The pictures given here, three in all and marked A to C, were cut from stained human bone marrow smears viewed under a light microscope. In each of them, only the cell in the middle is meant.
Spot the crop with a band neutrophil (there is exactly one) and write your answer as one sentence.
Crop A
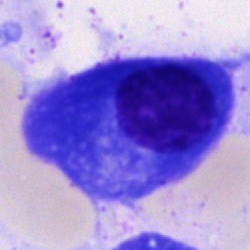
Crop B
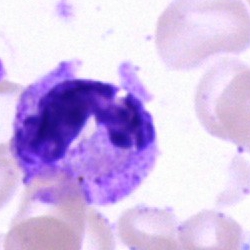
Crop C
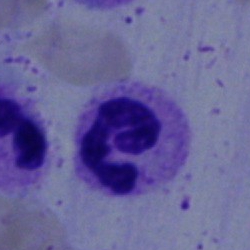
Crop C is the one in the set with a band neutrophil at the center.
